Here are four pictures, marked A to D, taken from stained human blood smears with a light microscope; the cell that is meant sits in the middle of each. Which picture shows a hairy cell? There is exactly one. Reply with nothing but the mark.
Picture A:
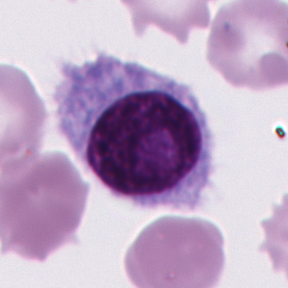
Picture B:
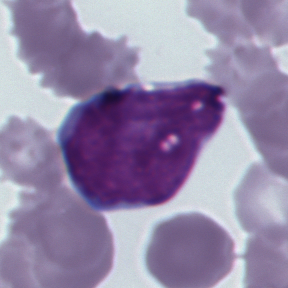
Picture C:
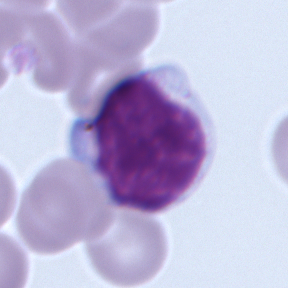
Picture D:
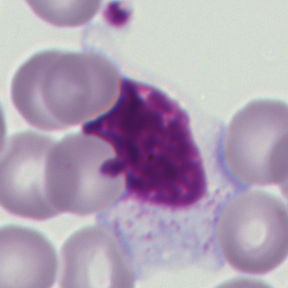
A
